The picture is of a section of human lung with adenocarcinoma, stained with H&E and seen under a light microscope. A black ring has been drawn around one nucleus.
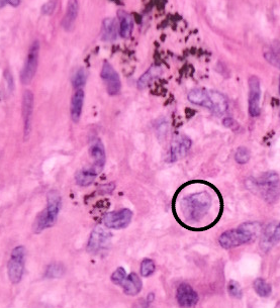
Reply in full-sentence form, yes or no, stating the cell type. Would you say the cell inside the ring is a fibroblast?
Yes, the cell inside the ring is to be classified as a fibroblast.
